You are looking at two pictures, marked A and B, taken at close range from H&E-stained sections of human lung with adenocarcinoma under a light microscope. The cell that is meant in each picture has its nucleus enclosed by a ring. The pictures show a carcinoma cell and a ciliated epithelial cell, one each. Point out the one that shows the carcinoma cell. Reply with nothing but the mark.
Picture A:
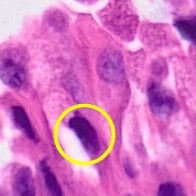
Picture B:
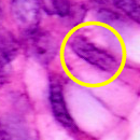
A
